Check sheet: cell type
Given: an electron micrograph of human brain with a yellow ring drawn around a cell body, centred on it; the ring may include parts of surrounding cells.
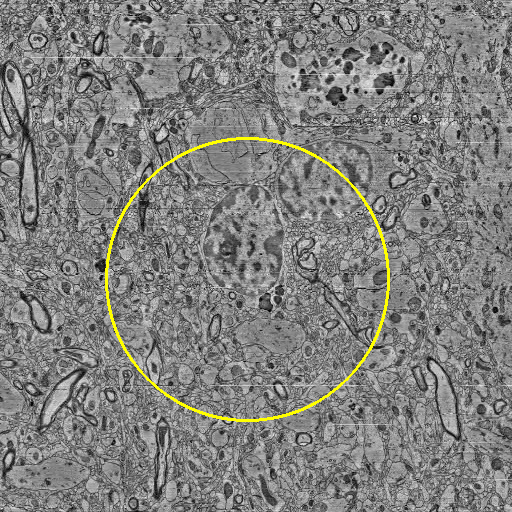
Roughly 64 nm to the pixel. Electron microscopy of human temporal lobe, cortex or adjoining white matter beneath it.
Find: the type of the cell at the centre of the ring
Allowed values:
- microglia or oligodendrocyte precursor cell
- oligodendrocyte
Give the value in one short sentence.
Here the ringed cell is a microglial cell or oligodendrocyte precursor cell.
